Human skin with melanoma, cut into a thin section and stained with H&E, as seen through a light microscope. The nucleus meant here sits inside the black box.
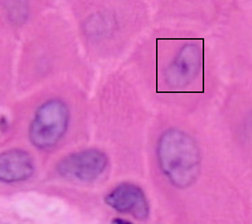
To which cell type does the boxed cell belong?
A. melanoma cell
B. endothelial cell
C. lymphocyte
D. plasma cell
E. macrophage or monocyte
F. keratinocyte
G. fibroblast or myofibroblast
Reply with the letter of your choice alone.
F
